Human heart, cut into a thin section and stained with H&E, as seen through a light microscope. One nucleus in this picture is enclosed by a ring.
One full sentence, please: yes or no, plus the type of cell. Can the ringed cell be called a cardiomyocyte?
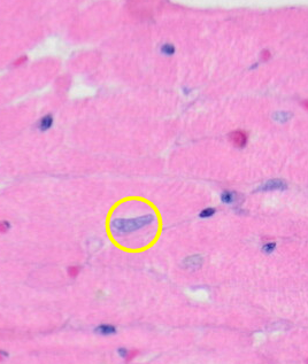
Yes, the ringed cell is categorized as a cardiomyocyte in this section.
